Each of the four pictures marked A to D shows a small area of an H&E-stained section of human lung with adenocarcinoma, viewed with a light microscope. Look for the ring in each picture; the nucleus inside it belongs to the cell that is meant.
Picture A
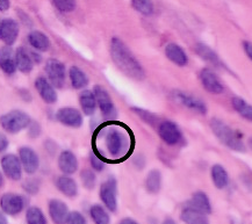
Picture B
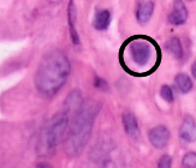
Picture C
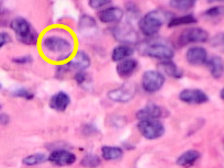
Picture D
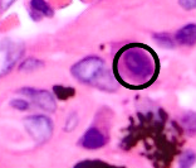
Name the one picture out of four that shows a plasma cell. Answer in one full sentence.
Picture D shows the plasma cell.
